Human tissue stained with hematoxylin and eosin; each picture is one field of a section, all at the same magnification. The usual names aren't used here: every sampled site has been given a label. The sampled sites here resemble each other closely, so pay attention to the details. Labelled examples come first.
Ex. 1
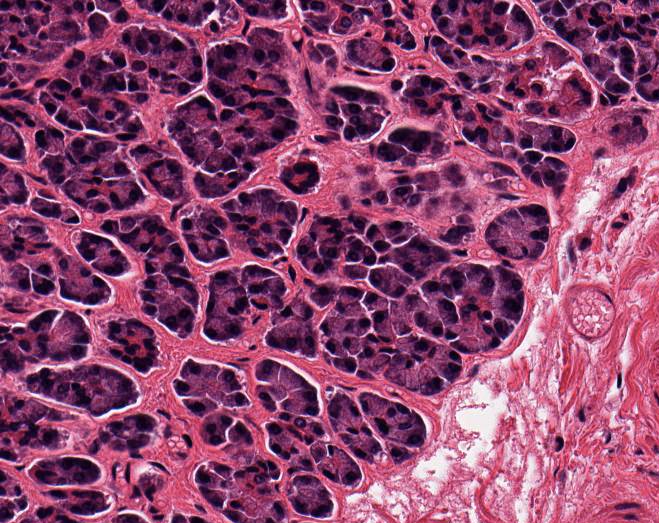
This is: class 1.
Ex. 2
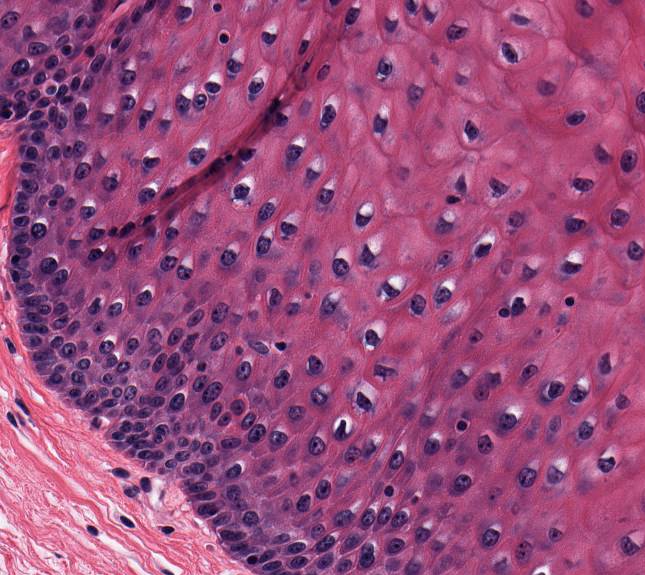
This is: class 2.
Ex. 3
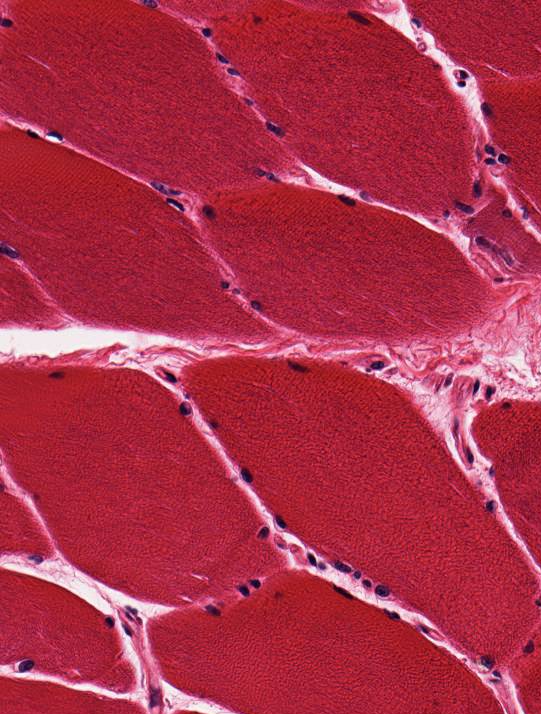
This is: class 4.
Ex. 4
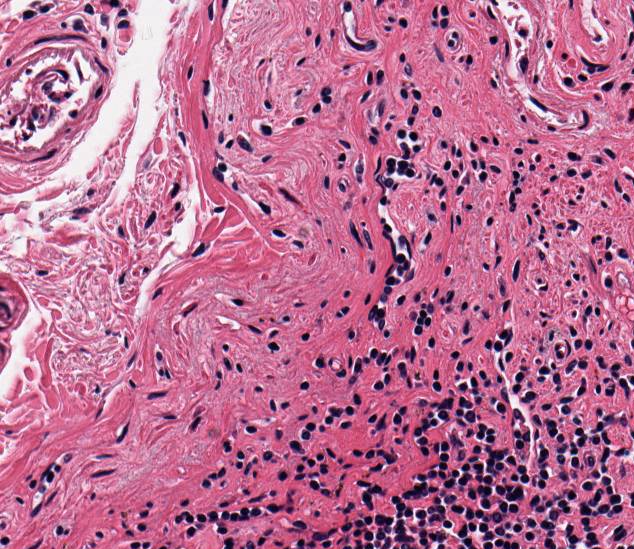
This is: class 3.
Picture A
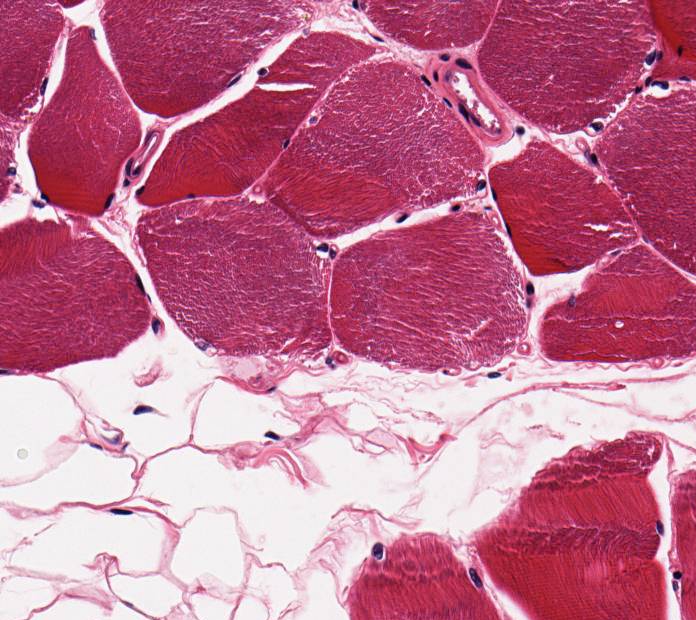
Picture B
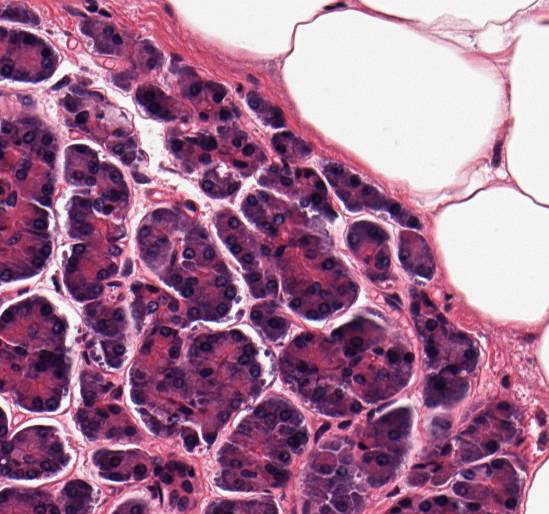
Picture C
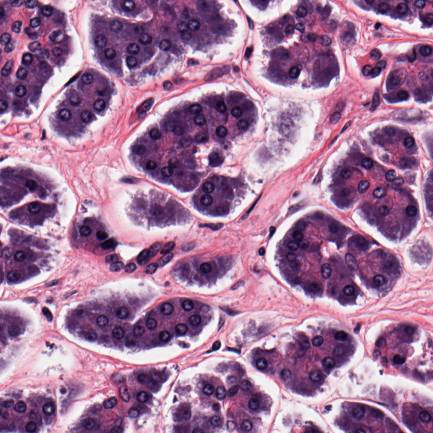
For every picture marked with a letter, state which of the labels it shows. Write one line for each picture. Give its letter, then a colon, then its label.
A: class 4.
B: class 1.
C: class 1.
